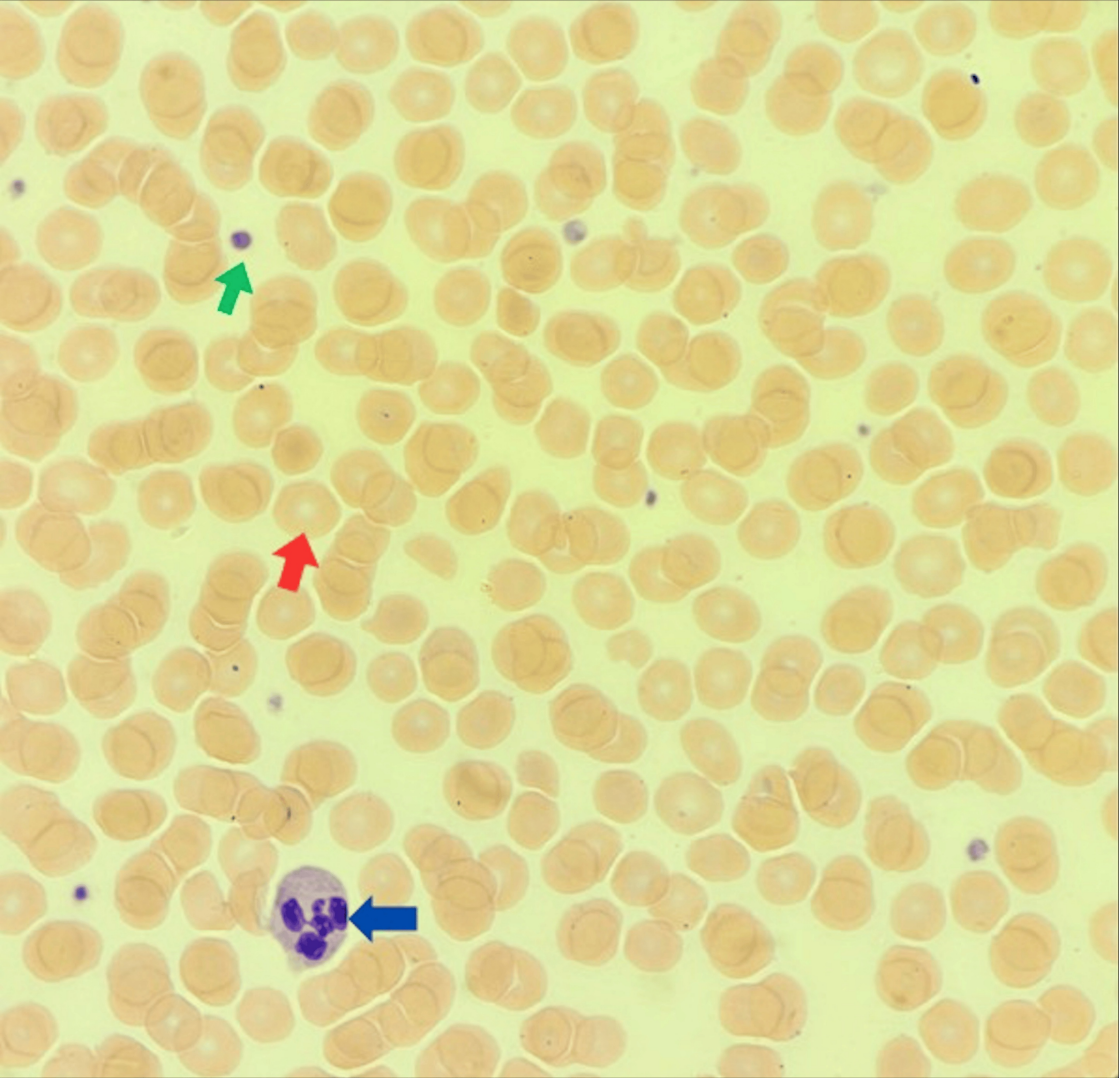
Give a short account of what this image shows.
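This peripheral blood smear shows many red blood cells, a single neutrophil and scattered platelets. The red blood cells are round, anucleate, pinkish-tan discs of fairly uniform size, most with a pale centre, lying singly or overlapping at their edges. Near the lower left lies a neutrophil, larger than the red cells, with a nucleus divided into several dark purple lobes and a pale lilac cytoplasm. Small purple platelets, far smaller than red cells and without a nucleus, are dispersed singly between the red cells. No clumps of platelets are seen.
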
